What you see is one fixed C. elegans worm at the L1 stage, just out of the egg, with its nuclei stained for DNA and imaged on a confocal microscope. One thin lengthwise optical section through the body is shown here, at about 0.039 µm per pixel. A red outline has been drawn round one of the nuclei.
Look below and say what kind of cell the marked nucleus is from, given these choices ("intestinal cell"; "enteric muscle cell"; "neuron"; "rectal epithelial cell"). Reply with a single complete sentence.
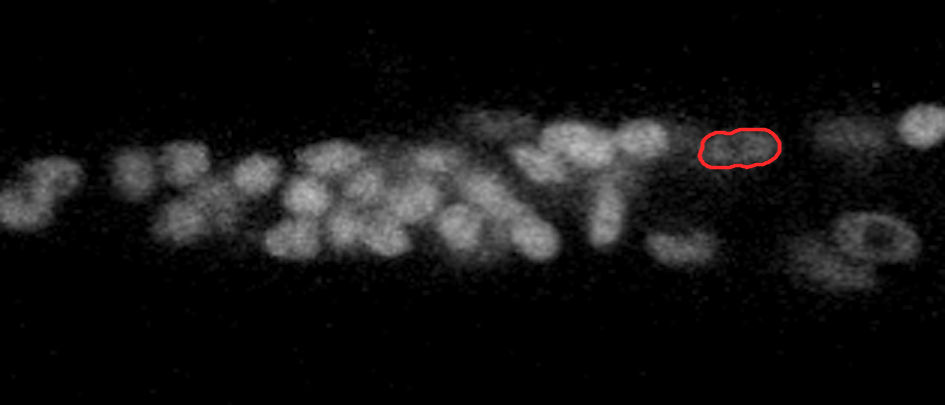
This nucleus is from an intestinal cell.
